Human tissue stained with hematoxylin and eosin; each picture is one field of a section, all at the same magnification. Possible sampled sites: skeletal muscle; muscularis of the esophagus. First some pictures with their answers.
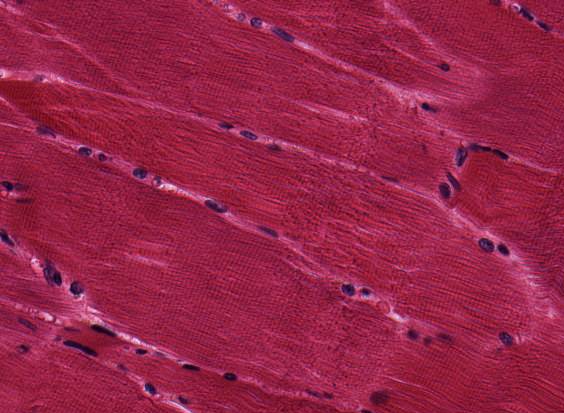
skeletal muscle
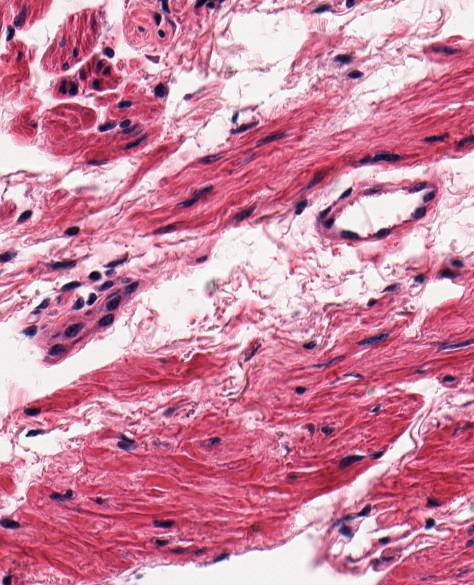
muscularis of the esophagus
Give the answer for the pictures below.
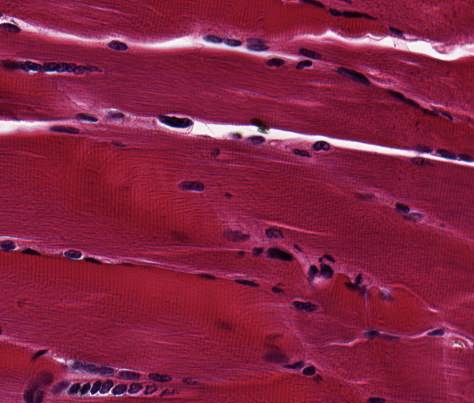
skeletal muscle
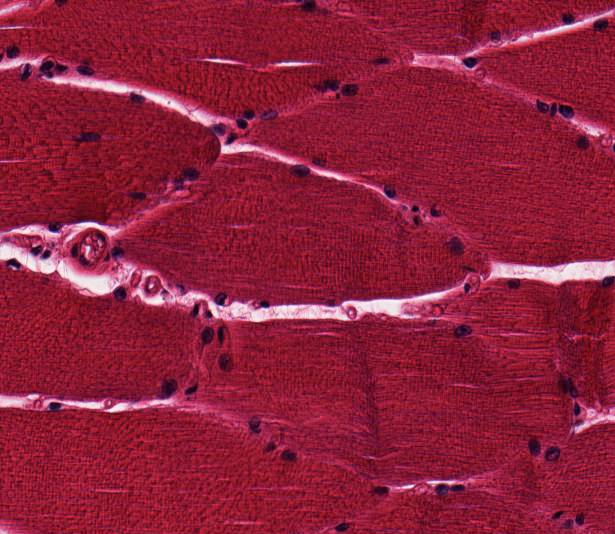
skeletal muscle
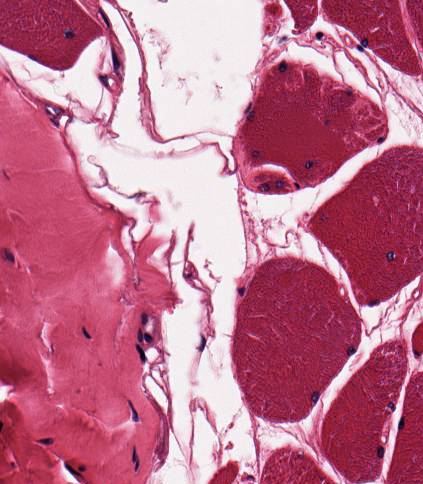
skeletal muscle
